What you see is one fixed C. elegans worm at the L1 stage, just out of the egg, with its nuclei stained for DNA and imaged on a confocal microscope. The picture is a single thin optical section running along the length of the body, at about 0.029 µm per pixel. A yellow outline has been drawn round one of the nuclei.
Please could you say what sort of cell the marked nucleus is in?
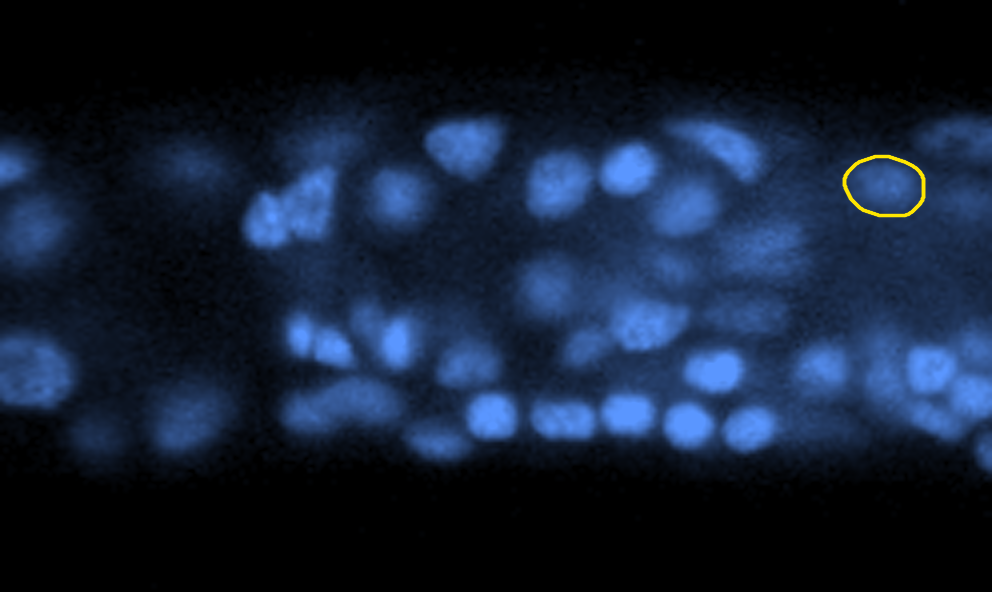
neuron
